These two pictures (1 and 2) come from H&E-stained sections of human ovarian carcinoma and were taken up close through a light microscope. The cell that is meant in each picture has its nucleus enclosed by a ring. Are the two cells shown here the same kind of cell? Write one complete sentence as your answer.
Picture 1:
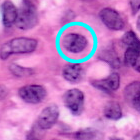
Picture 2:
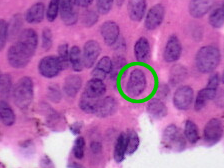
No, they differ: the cell is a “macrophage or monocyte” in picture 1 and a carcinoma cell in picture 2.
